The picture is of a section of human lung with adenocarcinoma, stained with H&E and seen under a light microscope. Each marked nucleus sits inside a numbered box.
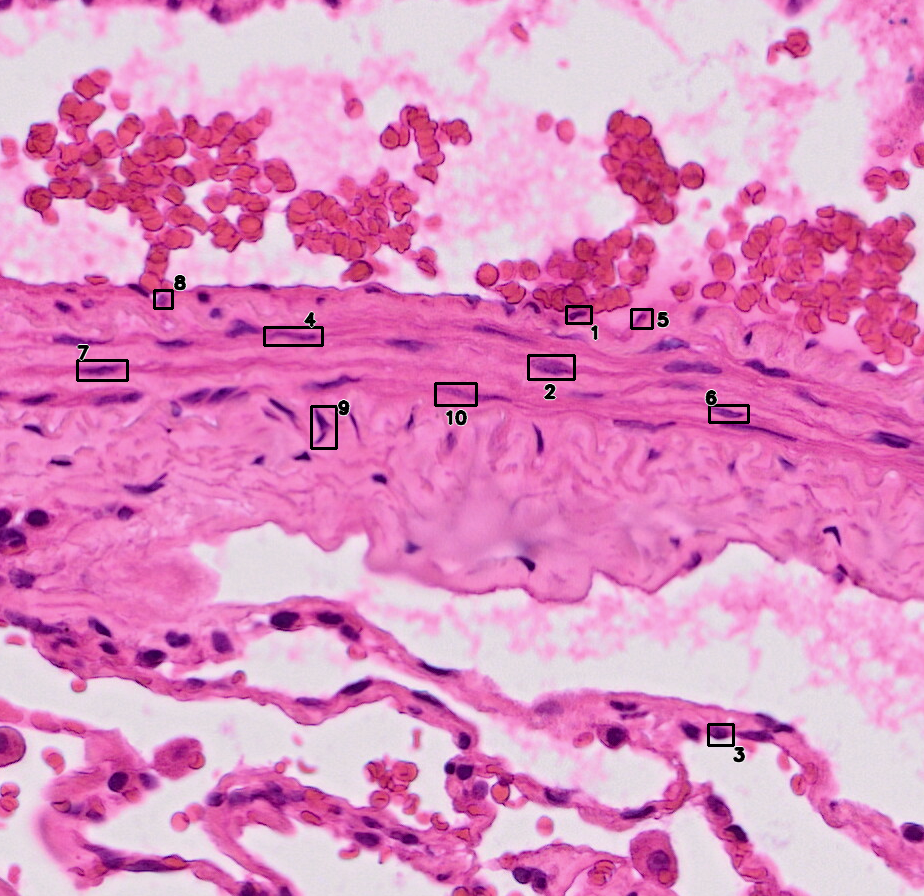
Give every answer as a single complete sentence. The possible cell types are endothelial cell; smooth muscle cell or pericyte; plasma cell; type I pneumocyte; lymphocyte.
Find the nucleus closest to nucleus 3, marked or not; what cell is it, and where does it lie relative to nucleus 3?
Just to the left of nucleus 3 lies the nearest nucleus, which belongs to an endothelial cell.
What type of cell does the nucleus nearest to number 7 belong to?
Closest to number 7 lies the nucleus of a smooth muscle cell or pericyte.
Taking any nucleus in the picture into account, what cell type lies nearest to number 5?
It is a smooth muscle cell or pericyte whose nucleus is nearest to number 5.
